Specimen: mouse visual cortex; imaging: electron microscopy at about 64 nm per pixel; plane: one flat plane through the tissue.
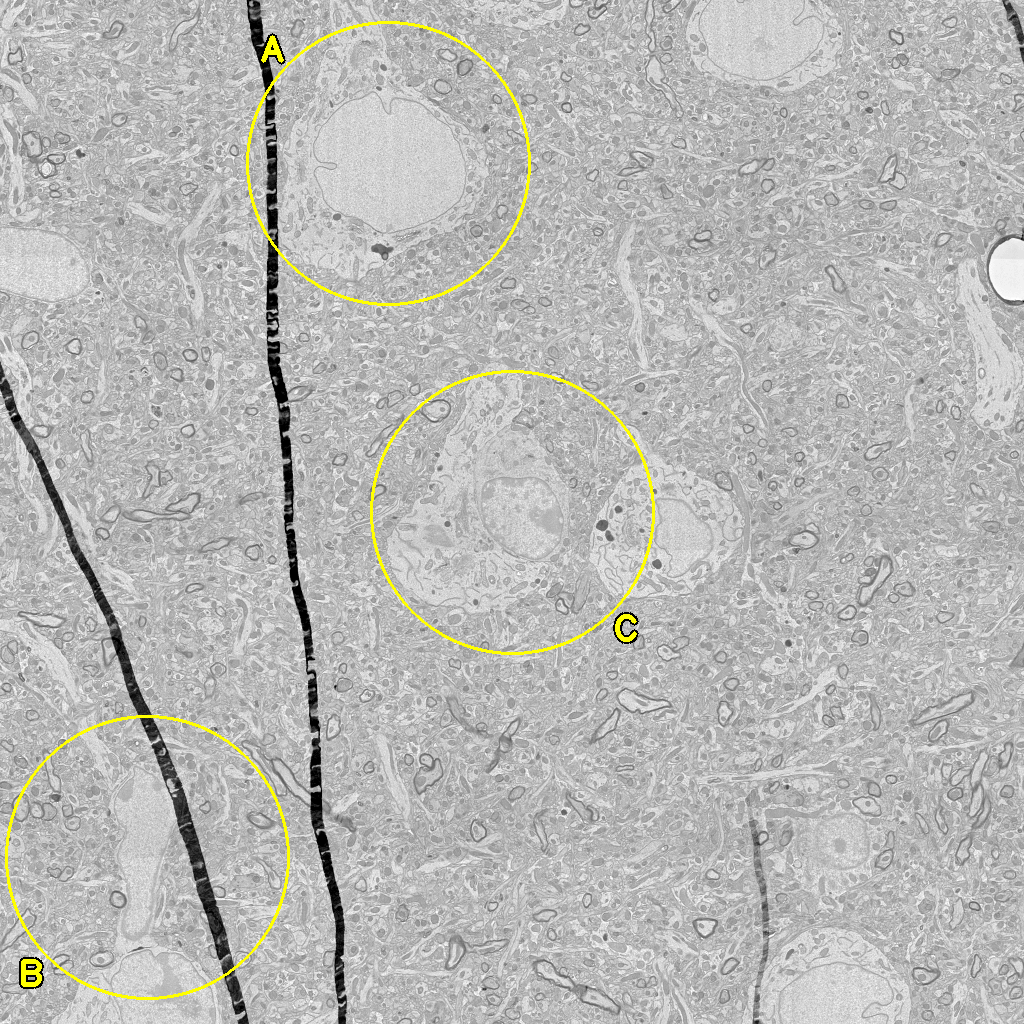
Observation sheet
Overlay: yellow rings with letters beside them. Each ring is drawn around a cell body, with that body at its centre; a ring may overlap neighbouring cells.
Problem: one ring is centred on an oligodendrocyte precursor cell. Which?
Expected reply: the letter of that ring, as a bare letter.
B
